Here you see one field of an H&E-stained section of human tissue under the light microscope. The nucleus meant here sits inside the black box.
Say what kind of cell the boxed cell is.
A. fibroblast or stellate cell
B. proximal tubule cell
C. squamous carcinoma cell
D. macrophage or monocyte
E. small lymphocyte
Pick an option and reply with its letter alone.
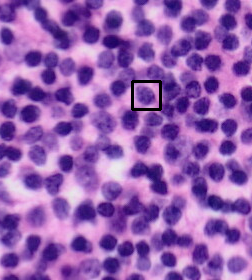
E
